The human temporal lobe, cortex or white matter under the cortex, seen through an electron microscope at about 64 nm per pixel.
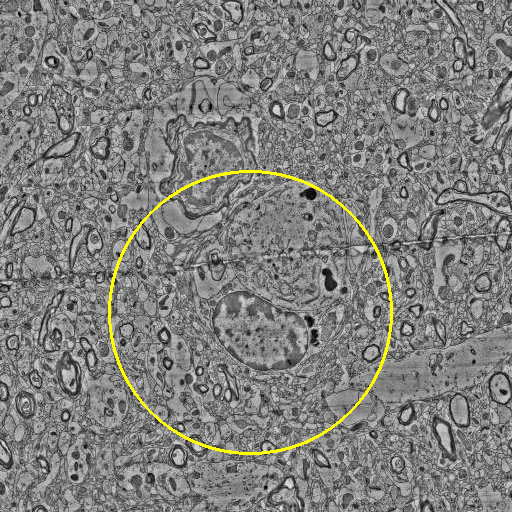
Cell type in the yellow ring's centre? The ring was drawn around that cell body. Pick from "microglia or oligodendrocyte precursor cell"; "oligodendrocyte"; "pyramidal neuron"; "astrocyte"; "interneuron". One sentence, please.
The ringed cell body is that of a microglial cell or oligodendrocyte precursor cell.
